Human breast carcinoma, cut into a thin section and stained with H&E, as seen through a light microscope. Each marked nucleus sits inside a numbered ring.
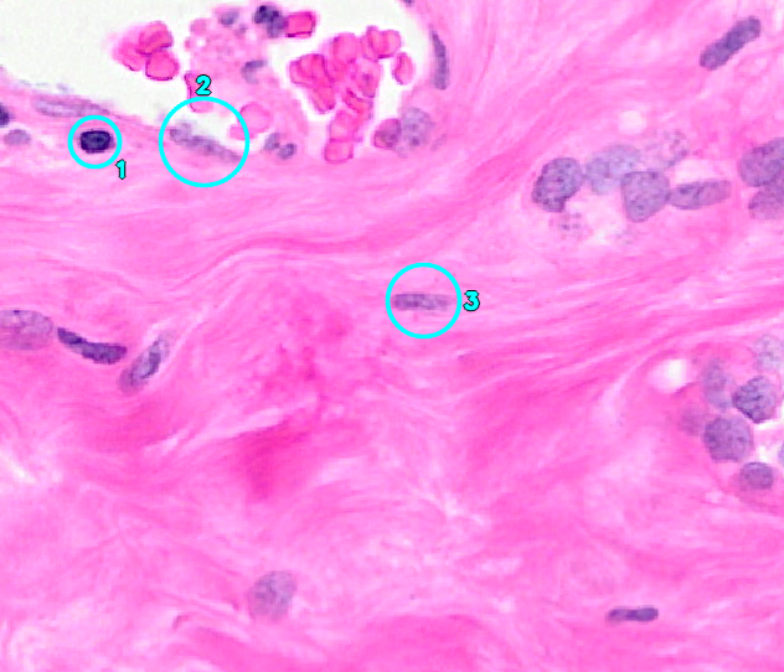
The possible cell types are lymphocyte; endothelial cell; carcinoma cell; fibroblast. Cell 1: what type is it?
lymphocyte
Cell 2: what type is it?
endothelial cell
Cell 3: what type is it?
fibroblast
